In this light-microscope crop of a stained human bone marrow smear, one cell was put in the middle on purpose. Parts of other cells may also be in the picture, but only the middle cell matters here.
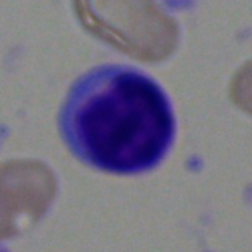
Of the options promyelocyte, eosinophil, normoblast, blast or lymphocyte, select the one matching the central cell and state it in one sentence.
In the middle of this smear crop is a lymphocyte.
